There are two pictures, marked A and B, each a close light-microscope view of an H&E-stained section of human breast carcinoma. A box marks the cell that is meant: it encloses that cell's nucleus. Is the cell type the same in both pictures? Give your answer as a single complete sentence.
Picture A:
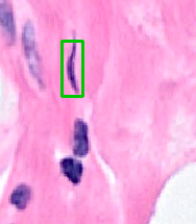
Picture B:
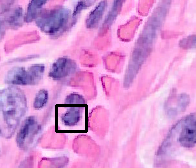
No, picture A shows a fibroblast and picture B shows an endothelial cell.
